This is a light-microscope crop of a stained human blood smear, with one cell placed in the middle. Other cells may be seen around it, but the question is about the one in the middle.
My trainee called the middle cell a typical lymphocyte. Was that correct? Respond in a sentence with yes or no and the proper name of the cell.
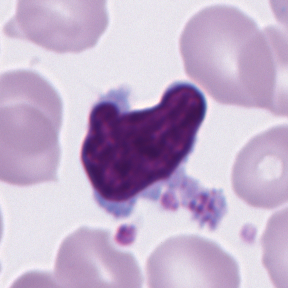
Yes, the cell of interest in the centre is a typical lymphocyte.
